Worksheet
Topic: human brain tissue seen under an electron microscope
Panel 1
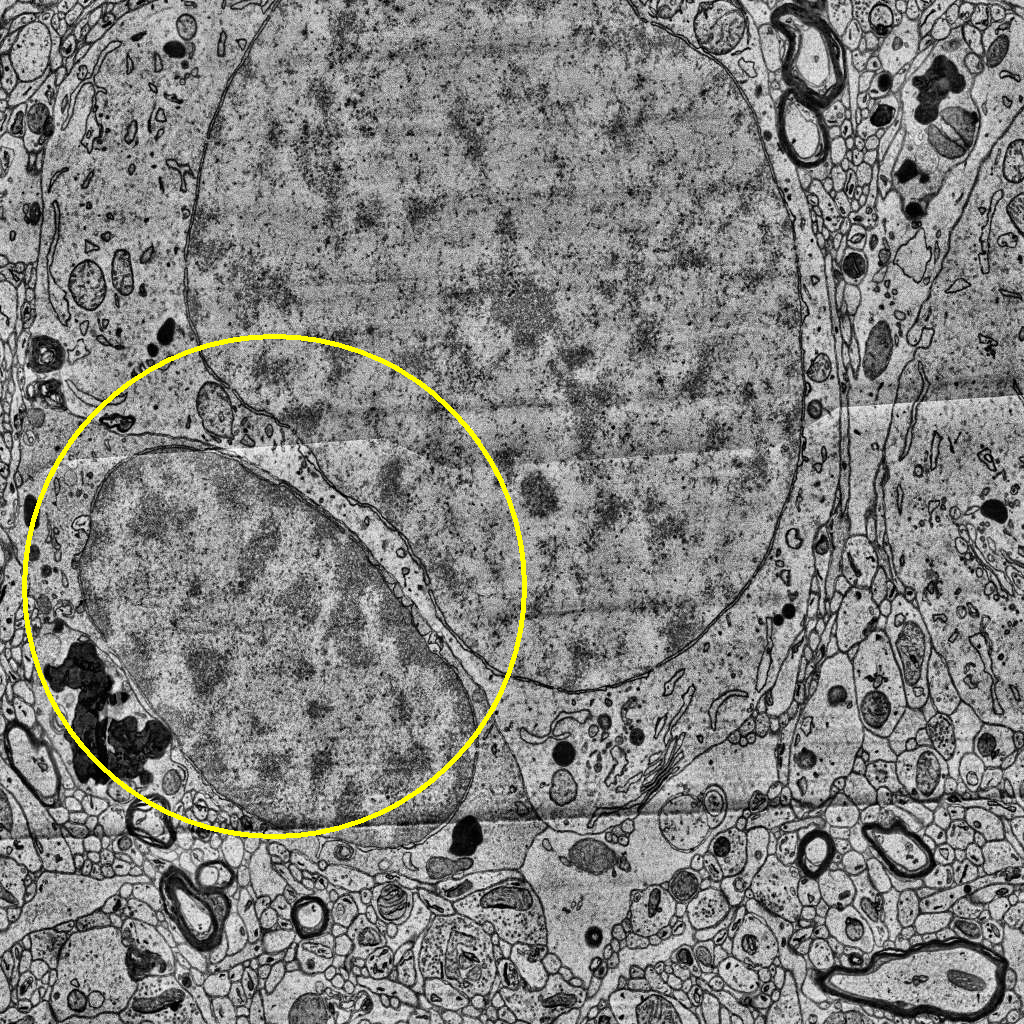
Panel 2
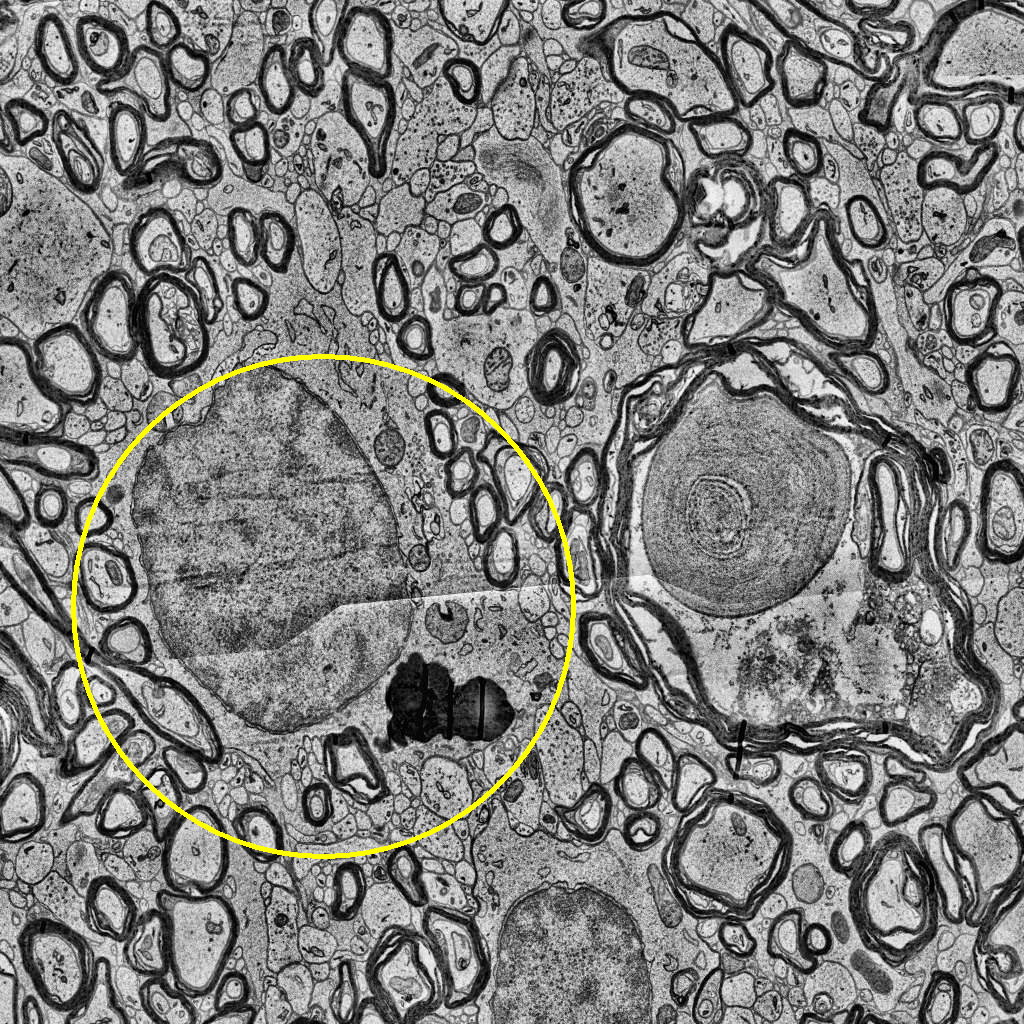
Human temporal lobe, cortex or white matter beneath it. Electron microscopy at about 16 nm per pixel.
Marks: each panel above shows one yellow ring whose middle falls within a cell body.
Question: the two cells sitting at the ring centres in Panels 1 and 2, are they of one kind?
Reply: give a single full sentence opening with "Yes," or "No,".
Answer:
Yes, the two cells at the ring centres in Panel 1 and Panel 2 are of one kind.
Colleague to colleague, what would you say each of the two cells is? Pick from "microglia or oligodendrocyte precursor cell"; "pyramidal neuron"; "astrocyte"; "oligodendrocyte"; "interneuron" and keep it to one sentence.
The cell in the first picture is an oligodendrocyte, and so is the one in the second.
